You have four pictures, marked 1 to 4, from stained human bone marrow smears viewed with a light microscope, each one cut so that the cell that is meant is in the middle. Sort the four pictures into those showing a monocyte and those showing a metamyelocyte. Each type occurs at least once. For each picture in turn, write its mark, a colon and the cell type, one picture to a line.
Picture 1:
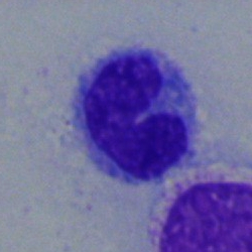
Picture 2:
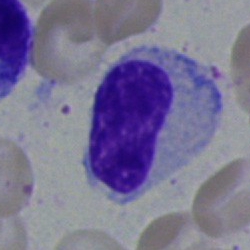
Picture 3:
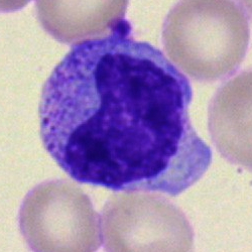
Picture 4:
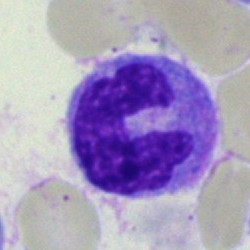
1: monocyte
2: metamyelocyte
3: metamyelocyte
4: monocyte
